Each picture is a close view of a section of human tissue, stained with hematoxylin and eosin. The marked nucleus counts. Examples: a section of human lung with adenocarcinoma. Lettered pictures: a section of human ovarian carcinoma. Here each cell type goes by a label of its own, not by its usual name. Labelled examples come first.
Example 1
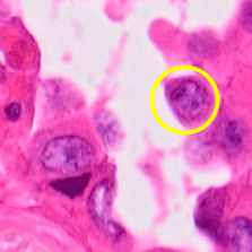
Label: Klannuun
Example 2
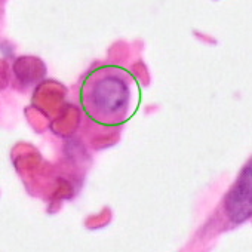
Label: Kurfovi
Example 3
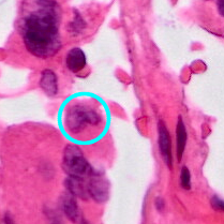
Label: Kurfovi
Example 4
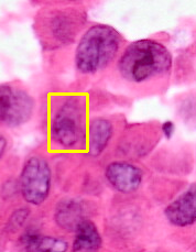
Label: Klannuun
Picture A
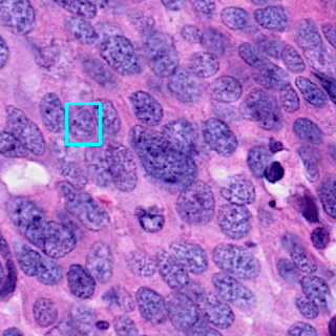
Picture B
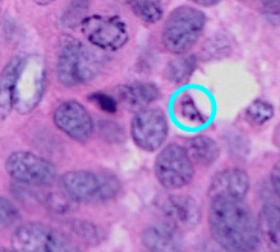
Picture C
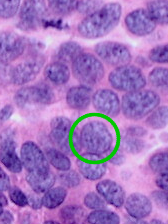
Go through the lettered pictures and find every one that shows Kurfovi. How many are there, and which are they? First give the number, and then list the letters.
1: B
